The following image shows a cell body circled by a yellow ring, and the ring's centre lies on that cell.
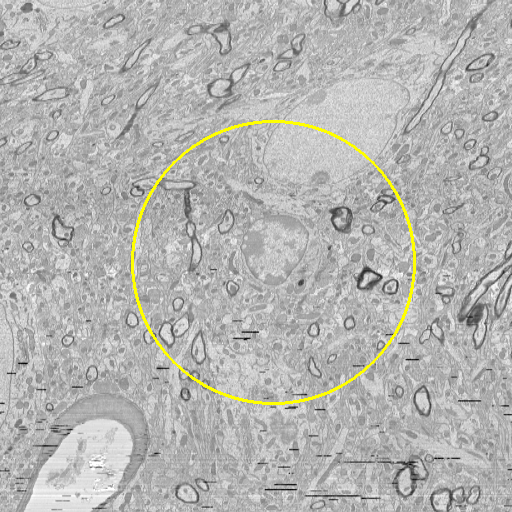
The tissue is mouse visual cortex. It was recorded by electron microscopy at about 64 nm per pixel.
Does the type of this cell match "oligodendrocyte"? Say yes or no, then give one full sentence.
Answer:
Yes, the type matches for the cell at the ring's centre in this picture.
